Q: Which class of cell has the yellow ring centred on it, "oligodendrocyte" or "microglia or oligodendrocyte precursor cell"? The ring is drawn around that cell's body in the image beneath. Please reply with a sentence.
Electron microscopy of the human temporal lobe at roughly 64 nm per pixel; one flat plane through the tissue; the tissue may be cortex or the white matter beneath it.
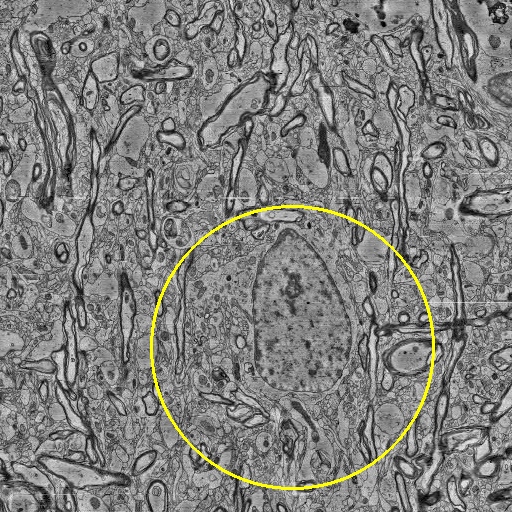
It is centred on a microglial cell or oligodendrocyte precursor cell.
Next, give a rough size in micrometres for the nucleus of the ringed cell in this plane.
At approximately 11 by 6 micrometres, the nucleus is clearly longer than it is wide in this plane.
